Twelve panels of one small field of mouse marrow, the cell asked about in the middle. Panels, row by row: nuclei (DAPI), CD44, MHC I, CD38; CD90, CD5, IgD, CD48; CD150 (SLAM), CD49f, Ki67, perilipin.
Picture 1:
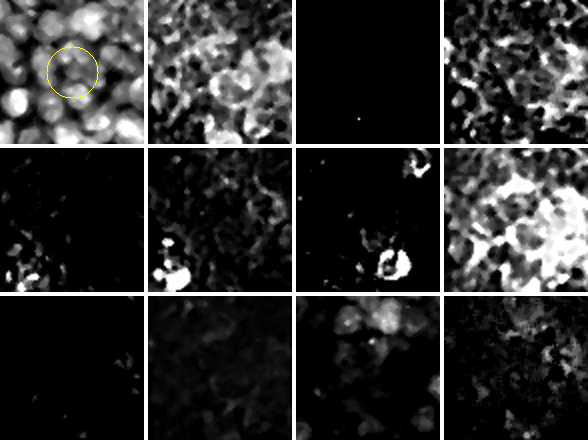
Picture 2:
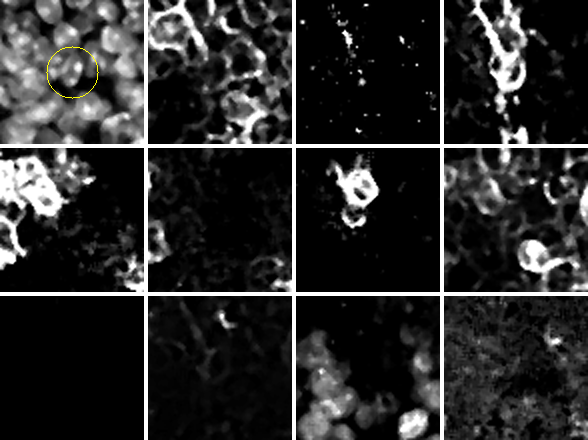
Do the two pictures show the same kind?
No: an erythroblast, then a capillary endothelial cell.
